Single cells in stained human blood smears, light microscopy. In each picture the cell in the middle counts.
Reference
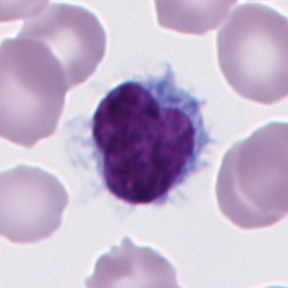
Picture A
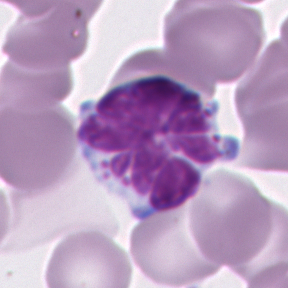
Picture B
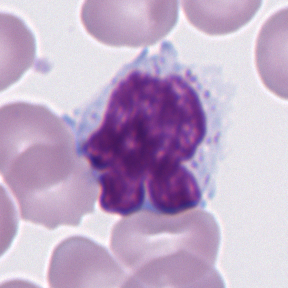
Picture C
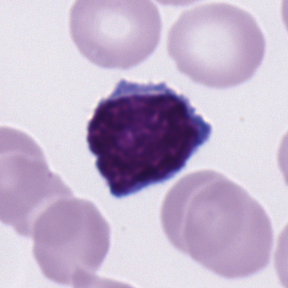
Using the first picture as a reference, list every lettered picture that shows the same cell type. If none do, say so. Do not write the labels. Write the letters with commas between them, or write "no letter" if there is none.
no letter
